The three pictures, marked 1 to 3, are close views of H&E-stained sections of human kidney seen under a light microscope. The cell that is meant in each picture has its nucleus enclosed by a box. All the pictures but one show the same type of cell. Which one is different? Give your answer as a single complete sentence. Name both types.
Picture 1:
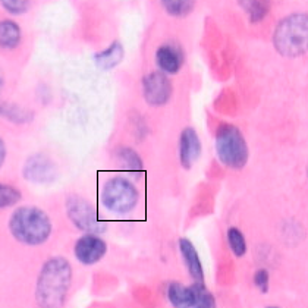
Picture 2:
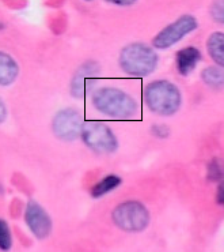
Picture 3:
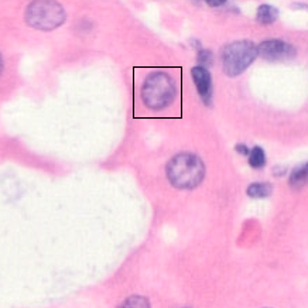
The different one is picture 3; it shows a proximal tubule cell, whereas all the others show collecting duct cells.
